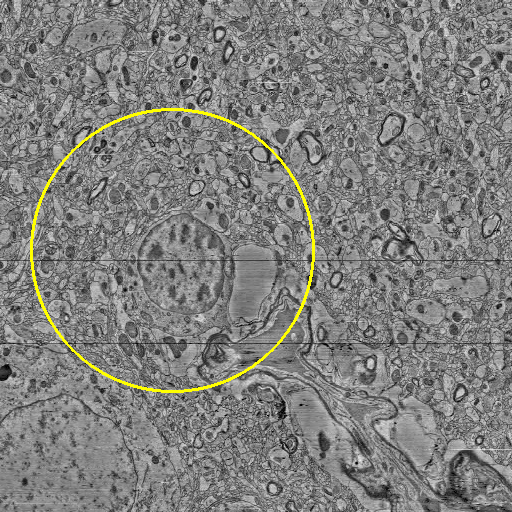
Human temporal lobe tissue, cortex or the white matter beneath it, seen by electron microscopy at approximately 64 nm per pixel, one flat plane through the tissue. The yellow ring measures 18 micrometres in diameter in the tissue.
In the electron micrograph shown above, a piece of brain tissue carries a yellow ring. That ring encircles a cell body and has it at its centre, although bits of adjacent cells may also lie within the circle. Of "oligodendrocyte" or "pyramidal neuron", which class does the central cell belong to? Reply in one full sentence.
The cell body at the centre of the yellow ring belongs to an oligodendrocyte.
